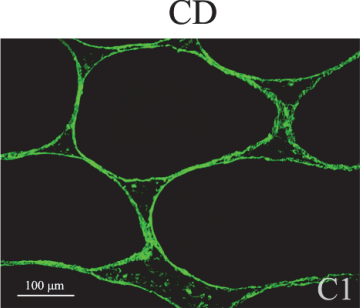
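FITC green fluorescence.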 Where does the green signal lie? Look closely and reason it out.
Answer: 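The tubule interiors are dark.
Conclusion: interstitial spaces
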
